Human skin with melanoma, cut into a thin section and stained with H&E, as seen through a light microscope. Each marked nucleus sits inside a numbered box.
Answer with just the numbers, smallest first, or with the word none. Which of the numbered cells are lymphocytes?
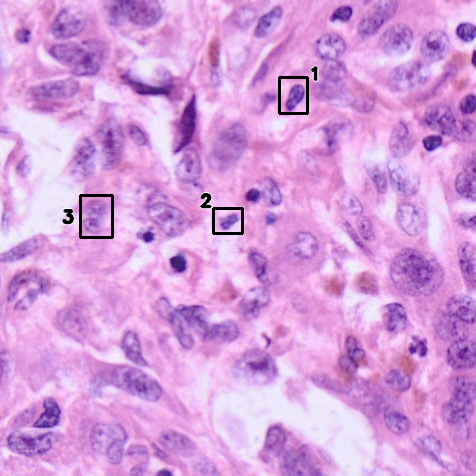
1, 2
